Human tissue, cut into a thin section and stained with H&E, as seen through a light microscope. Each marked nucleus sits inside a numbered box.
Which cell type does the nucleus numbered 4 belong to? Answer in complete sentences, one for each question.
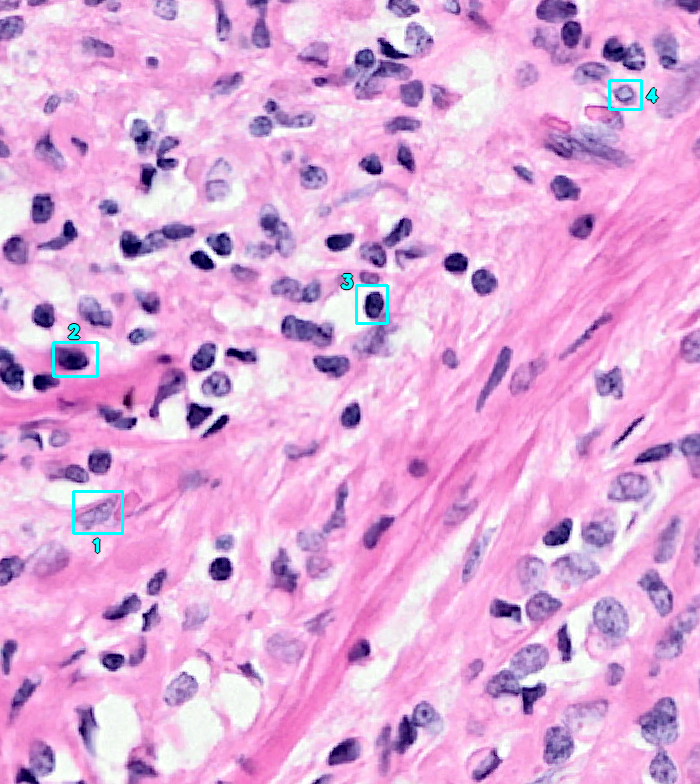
At number 4, the marked cell is an endothelial cell.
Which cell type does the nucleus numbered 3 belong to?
Cell 3 should be recorded as a lymphocyte.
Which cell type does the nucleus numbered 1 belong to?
The expected answer is that cell 1 is an endothelial cell.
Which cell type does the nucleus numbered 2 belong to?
Number 2 among the marked cells is a lymphocyte.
